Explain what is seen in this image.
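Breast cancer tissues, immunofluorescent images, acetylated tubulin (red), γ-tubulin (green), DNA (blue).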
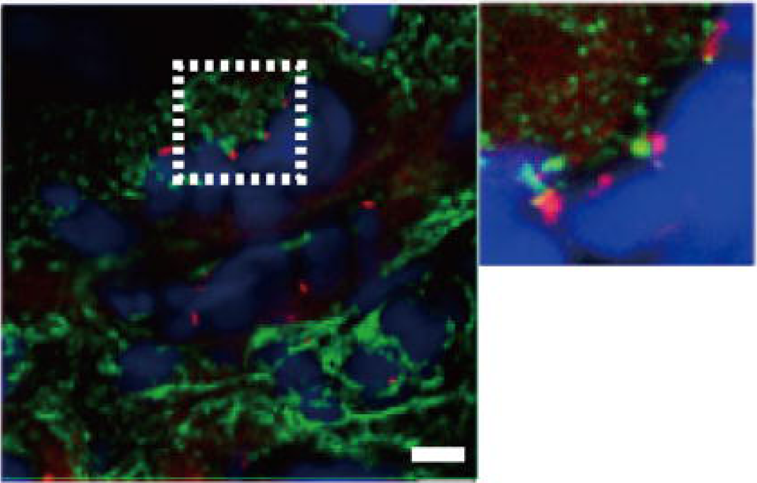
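Scattered through the field are tiny red rods, and in the boxed area and its enlargement these rods sit right beside bright green dots at the edge of the nuclei. This pairing of a short rod with a dot at its base is what primary cilia look like, the dot marking the base from which each cilium grows.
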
